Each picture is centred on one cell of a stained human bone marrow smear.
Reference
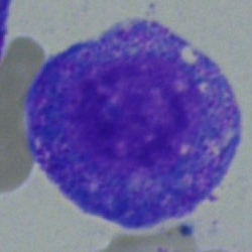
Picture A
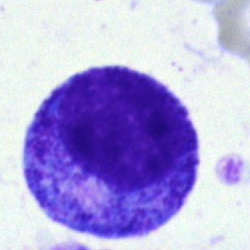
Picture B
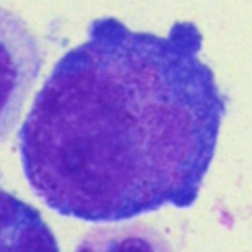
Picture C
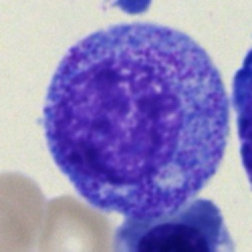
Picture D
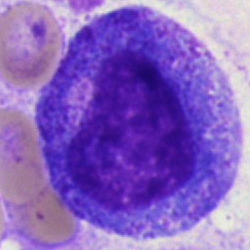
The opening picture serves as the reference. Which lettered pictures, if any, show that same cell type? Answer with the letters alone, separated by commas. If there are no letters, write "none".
B, D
